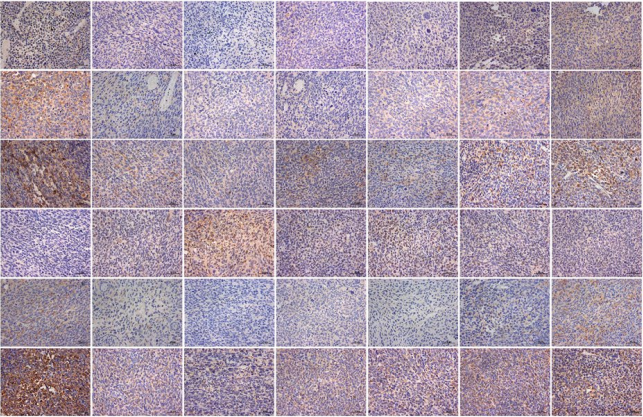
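This is a grid of many small fields, each showing the same kind of tumor tissue in sections stained brown on a blue counterstain. In every field, densely packed tumor cells form solid sheets, with no glands or layered lining. Their small, crowded blue nuclei are spread evenly across each field. The amount of brown stain in the cytoplasm varies from field to field, from faint to strong and granular.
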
